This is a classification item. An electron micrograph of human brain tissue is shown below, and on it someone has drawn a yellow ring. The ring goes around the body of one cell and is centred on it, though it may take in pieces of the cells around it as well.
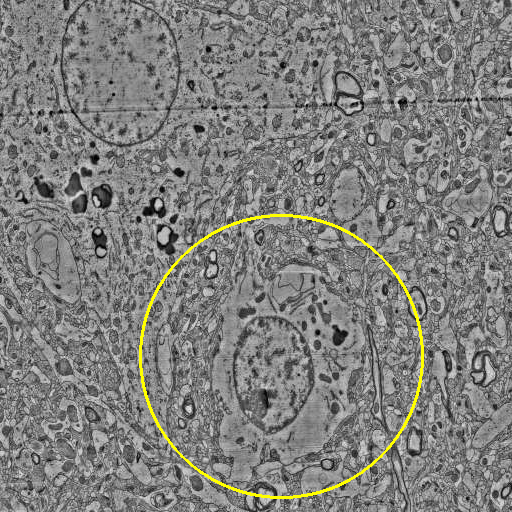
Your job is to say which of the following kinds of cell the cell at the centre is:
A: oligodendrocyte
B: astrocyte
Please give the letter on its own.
B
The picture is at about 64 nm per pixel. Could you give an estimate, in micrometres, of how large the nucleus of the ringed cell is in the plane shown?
The nucleus of the ringed cell is approximately 7 by 5 micrometres in this plane.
